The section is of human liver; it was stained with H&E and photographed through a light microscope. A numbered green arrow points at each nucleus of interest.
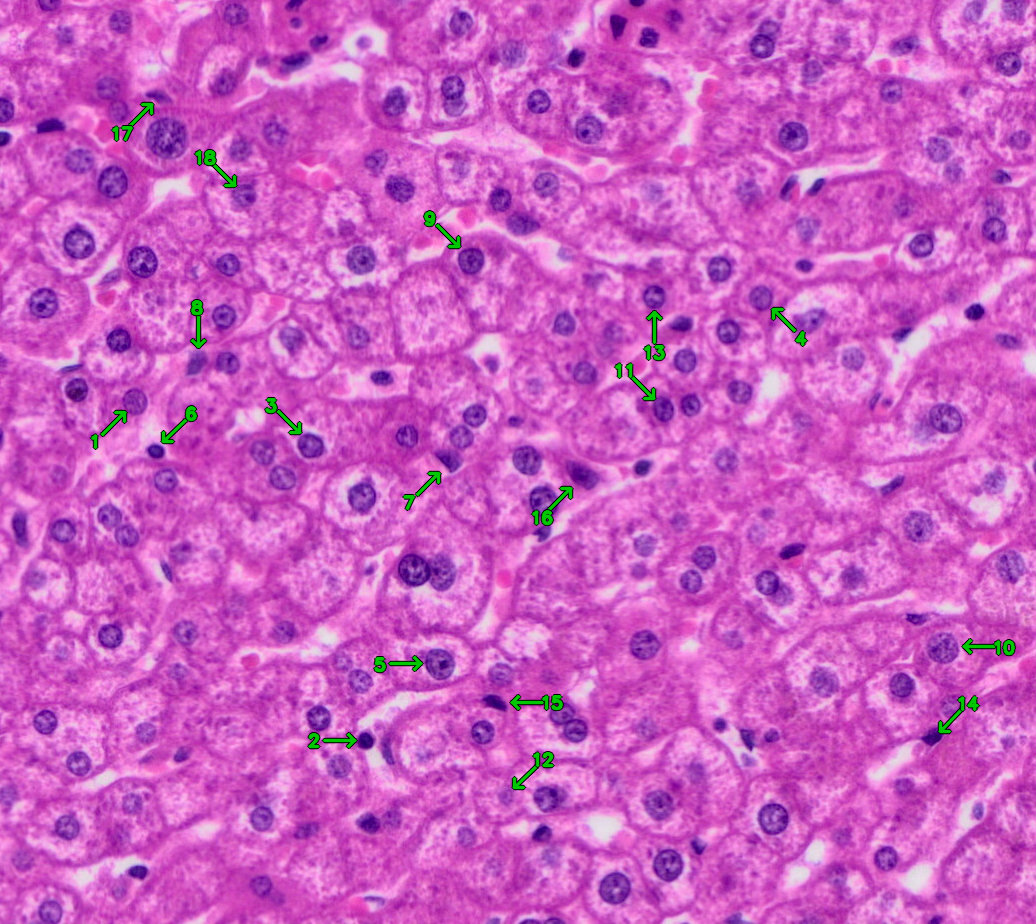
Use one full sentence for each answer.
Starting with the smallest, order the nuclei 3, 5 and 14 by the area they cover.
Smallest first, the nuclei run 14, 3, 5.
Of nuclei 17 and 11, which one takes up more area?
Nucleus 11 is larger, with an area about 2 times that of nucleus 17.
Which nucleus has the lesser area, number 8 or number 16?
Nucleus 8 is the smaller one; nucleus 16 covers about 1.5 times its area.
